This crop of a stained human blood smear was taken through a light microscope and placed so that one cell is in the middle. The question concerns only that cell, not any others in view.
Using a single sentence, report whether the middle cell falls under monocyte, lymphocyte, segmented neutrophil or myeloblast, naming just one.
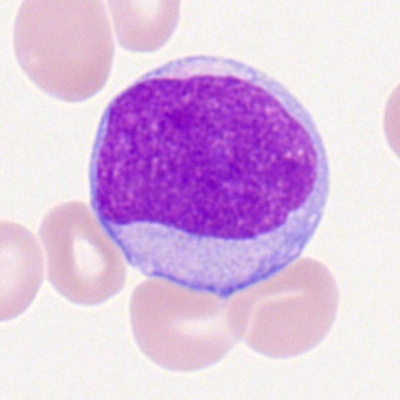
The crop shows a myeloblast in its centre.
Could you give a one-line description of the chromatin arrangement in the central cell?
Heads up, the chromatin is fine with no coarse clumps in it.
